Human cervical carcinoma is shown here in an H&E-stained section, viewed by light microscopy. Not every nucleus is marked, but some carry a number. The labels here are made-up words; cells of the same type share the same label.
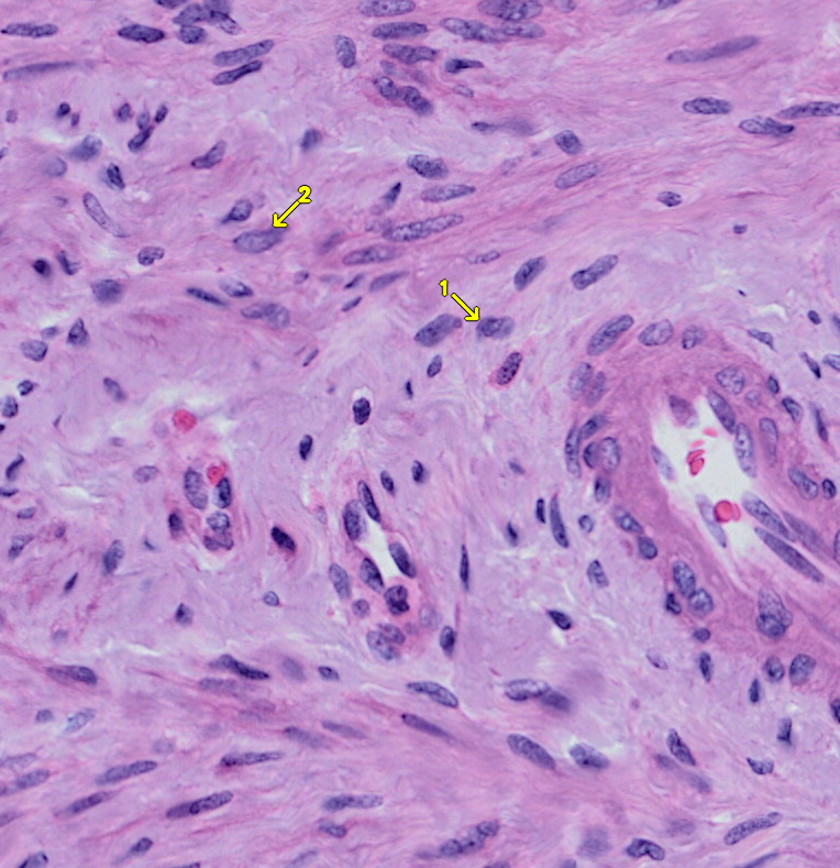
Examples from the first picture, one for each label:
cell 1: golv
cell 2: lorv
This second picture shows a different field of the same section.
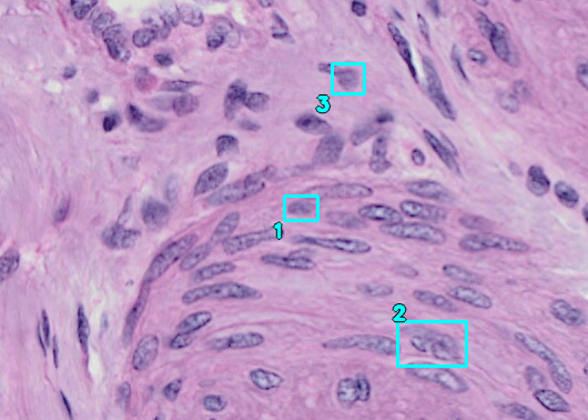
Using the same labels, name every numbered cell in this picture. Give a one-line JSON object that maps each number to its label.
{"1": "lorv", "2": "lorv", "3": "golv"}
